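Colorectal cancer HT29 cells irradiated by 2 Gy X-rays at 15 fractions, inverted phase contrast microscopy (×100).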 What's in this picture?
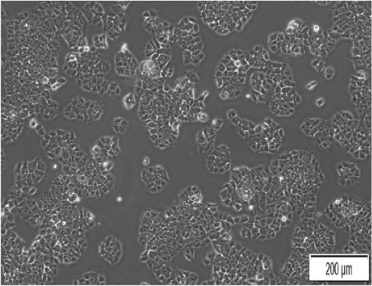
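Within each island the cells abut one another with sharp bright borders in a cobblestone pattern. A few rounded, refractile cells sit on top of the islands.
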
